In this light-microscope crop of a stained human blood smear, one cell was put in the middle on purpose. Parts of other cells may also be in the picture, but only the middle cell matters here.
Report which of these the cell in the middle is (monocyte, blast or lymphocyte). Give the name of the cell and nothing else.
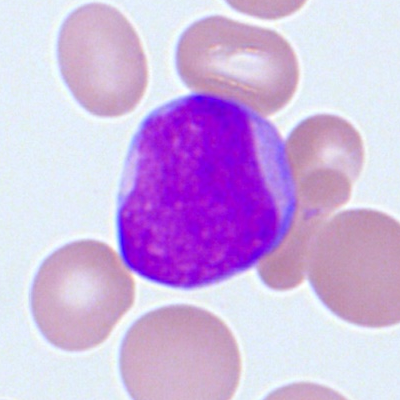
blast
